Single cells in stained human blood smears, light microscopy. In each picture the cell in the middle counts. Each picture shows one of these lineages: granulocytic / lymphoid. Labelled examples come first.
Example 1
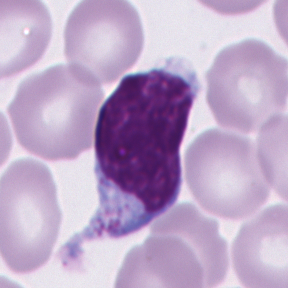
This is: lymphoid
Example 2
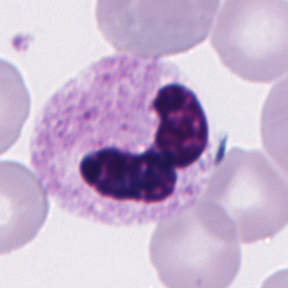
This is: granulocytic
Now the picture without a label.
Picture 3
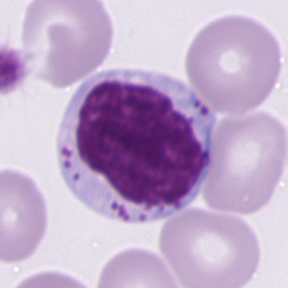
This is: lymphoid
